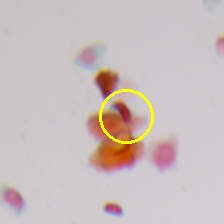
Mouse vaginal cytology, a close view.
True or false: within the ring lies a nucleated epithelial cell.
False: a cornified epithelial cell lies within the ring.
